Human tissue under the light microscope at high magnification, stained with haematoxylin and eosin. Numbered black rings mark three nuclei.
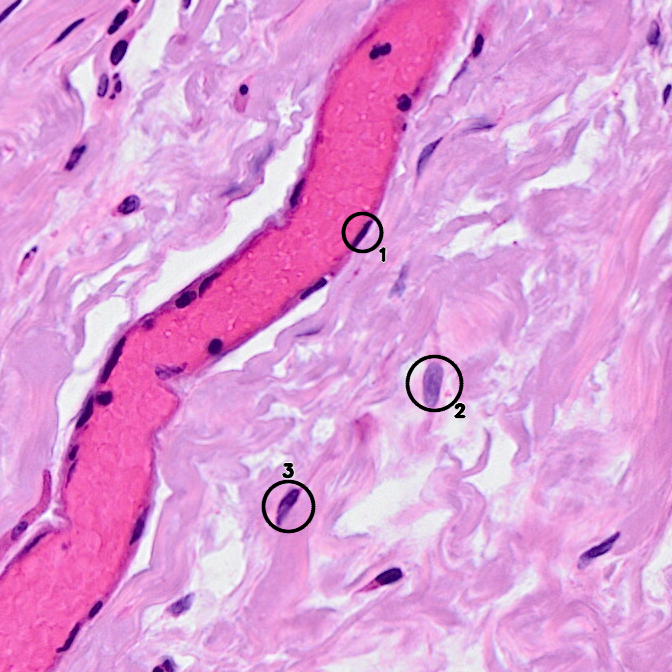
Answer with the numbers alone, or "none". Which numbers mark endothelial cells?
1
